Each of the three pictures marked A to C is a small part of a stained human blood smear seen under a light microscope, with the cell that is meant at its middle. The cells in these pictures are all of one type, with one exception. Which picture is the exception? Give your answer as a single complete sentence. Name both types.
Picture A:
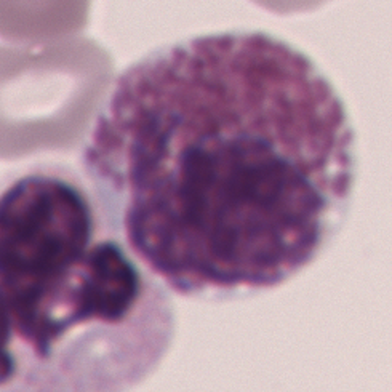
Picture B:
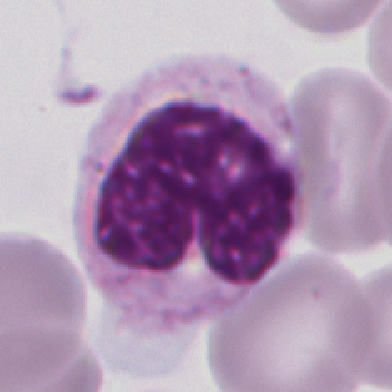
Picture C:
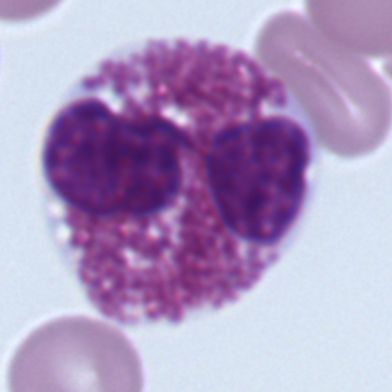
The others show eosinophils, but picture B shows a band neutrophil.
